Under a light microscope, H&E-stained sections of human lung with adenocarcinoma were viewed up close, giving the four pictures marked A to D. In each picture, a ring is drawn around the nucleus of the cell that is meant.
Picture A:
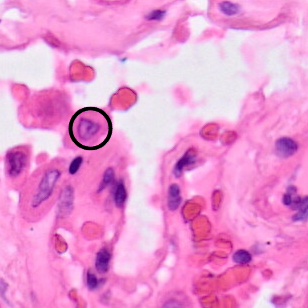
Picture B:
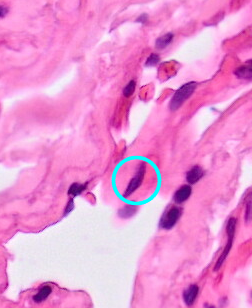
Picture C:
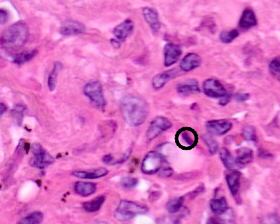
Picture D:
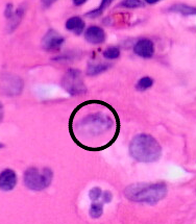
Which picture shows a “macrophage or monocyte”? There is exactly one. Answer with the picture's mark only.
A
